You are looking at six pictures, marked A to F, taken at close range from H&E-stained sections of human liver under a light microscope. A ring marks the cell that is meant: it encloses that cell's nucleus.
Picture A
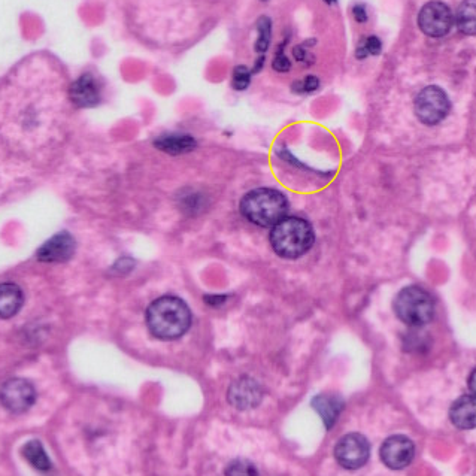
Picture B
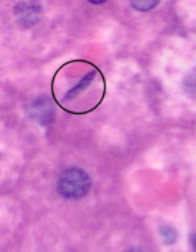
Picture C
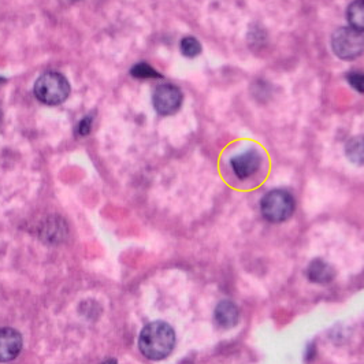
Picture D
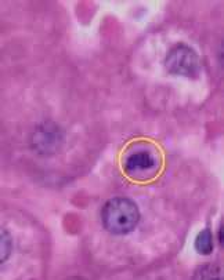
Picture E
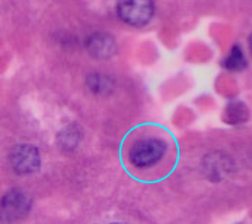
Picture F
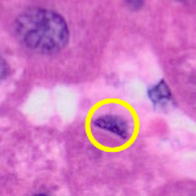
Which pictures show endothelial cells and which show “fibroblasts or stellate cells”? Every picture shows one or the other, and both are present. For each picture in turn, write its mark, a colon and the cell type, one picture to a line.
A: endothelial cell
B: endothelial cell
C: endothelial cell
D: fibroblast or stellate cell
E: fibroblast or stellate cell
F: fibroblast or stellate cell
